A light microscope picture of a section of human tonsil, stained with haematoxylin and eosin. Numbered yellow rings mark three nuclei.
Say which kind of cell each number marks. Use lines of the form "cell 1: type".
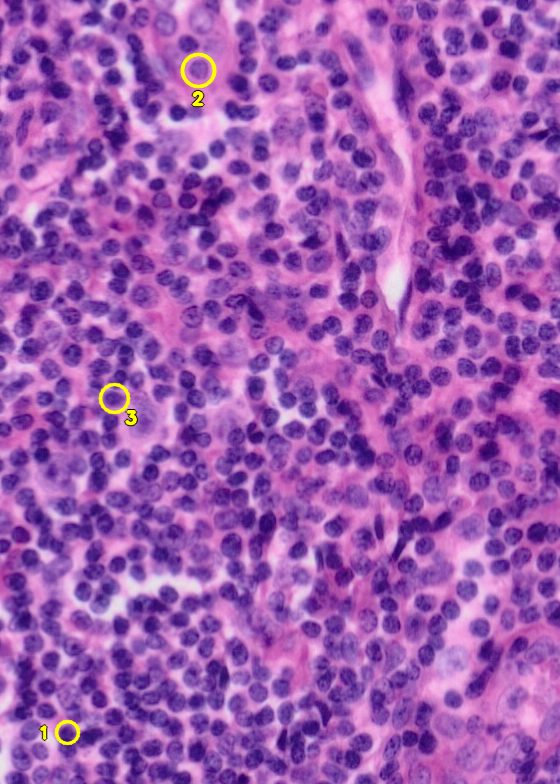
cell 1: small lymphocyte
cell 2: endothelial cell
cell 3: small lymphocyte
